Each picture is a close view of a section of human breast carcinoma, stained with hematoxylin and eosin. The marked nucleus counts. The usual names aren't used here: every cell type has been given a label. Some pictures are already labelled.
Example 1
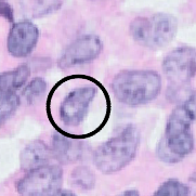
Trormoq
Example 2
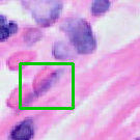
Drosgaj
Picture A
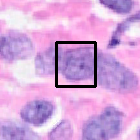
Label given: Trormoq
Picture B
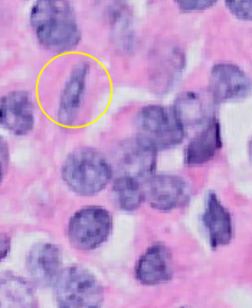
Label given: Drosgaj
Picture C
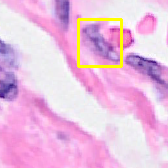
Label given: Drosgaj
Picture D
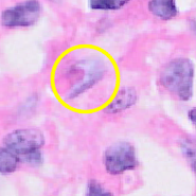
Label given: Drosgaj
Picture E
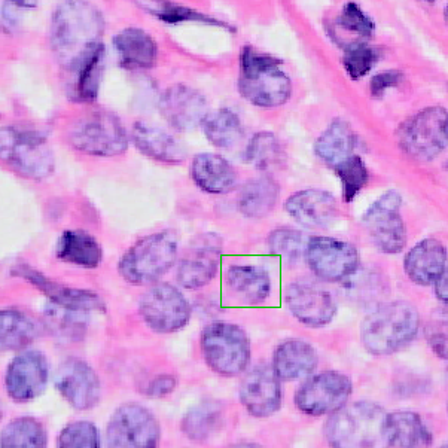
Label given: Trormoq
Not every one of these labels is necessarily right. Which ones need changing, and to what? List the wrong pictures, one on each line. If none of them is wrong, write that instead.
Nothing to fix; every label fits.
